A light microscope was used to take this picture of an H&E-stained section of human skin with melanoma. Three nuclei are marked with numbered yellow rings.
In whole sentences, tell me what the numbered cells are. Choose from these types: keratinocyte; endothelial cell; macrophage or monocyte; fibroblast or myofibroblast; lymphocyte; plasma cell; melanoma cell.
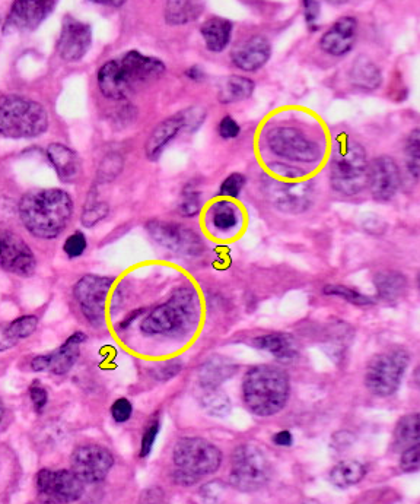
Cells 1 and 2 are melanoma cells. Cell 3 is a lymphocyte.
